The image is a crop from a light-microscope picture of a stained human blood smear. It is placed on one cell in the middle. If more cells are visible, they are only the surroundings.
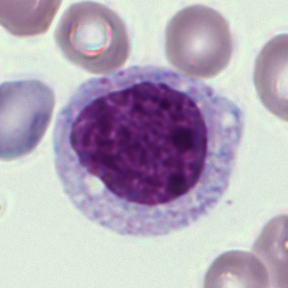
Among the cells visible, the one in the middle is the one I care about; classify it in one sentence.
The cell at the middle of the frame should be recorded as a myelocyte.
